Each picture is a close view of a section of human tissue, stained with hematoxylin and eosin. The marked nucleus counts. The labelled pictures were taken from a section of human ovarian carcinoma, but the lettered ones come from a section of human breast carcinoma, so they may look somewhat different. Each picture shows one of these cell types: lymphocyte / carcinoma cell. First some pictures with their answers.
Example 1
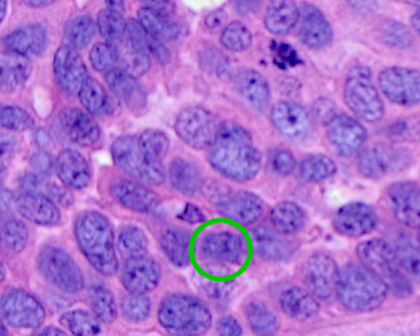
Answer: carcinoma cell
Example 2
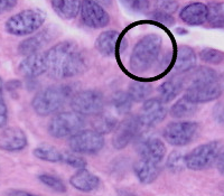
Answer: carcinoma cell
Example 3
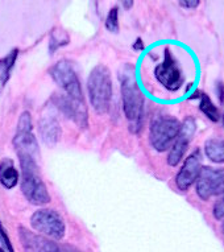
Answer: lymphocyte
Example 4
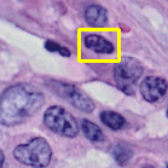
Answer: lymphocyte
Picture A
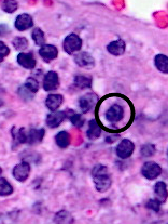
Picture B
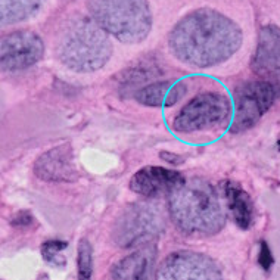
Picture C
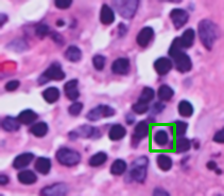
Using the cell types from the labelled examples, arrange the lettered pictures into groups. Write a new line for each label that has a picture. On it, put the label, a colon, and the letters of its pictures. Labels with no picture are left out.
lymphocyte: A, C
carcinoma cell: B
